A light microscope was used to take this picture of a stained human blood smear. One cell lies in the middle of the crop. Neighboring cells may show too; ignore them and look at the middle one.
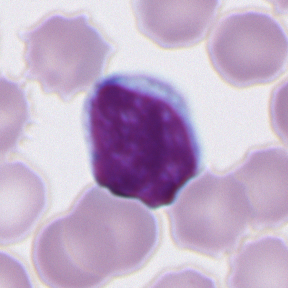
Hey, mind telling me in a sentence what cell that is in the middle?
The centrally located cell in the crop is a typical lymphocyte.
